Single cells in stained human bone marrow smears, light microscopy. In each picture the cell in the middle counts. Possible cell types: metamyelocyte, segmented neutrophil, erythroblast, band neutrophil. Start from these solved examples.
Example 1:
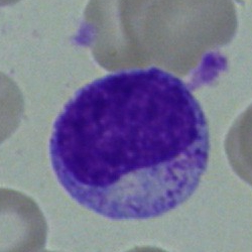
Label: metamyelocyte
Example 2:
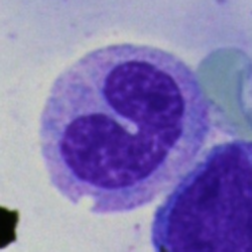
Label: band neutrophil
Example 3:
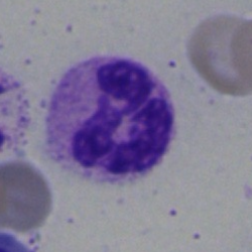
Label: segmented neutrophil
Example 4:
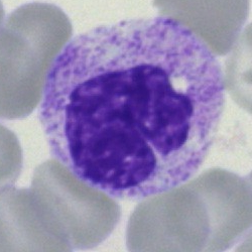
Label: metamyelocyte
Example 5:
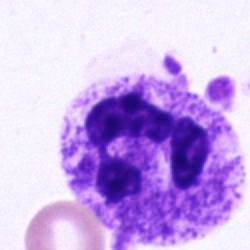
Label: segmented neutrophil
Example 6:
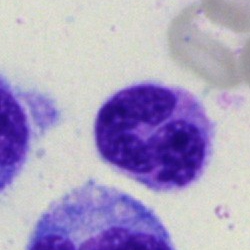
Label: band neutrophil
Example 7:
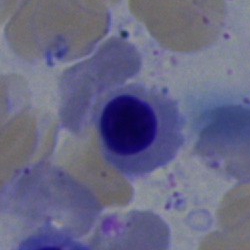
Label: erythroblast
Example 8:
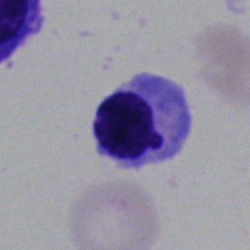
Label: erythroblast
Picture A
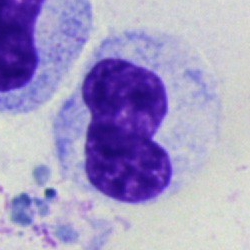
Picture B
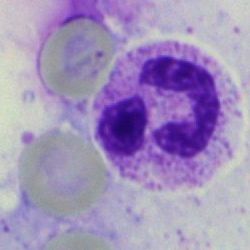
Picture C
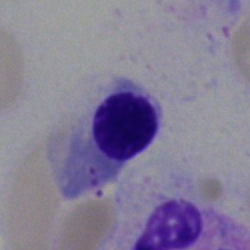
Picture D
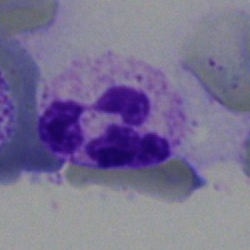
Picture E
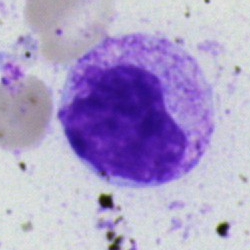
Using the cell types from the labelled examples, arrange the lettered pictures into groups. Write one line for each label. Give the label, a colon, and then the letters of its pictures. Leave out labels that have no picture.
metamyelocyte: E
segmented neutrophil: B, D
erythroblast: C
band neutrophil: A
